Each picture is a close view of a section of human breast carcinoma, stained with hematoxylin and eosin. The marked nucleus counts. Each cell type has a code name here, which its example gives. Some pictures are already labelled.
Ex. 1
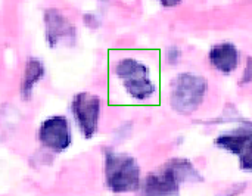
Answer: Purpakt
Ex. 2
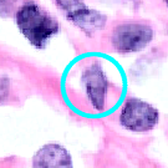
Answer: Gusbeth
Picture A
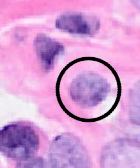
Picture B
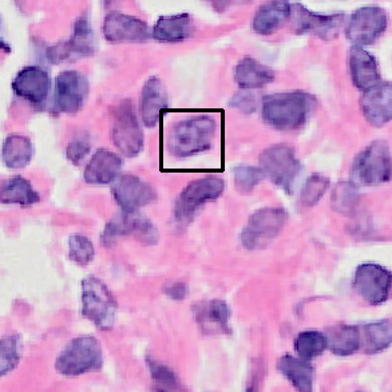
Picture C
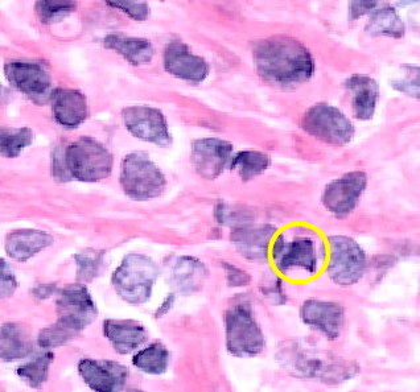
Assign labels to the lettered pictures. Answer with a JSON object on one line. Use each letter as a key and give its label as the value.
{"A": "Gusbeth", "B": "Gusbeth", "C": "Gusbeth"}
